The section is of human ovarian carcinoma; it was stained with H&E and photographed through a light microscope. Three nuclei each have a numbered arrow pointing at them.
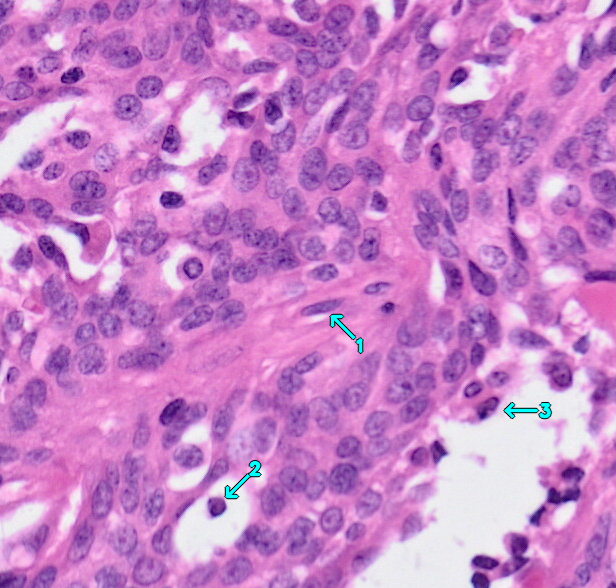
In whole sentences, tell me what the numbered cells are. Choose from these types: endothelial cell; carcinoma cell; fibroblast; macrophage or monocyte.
Cell 1 is an endothelial cell. Cell 2 is a carcinoma cell. Cell 3 is a macrophage or monocyte.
